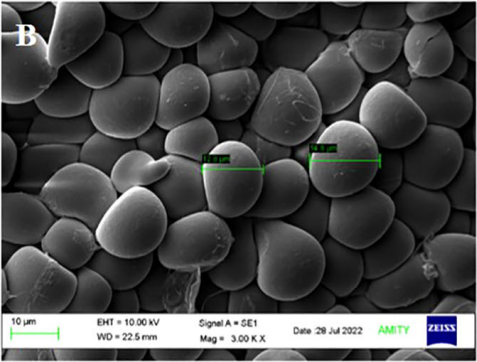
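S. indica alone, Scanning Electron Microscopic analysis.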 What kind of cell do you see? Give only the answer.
Spore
